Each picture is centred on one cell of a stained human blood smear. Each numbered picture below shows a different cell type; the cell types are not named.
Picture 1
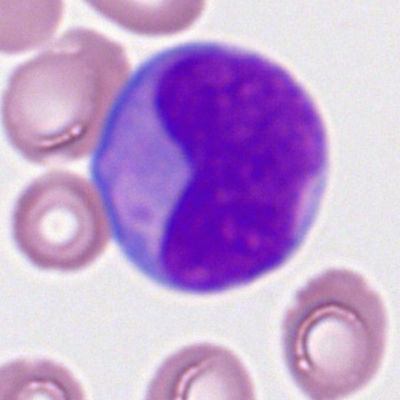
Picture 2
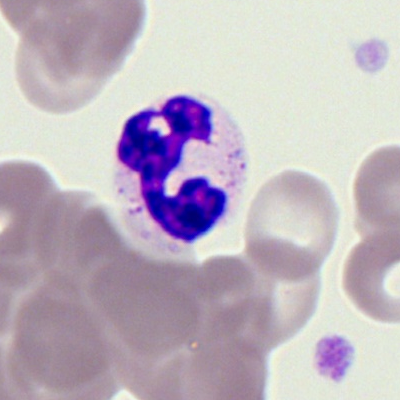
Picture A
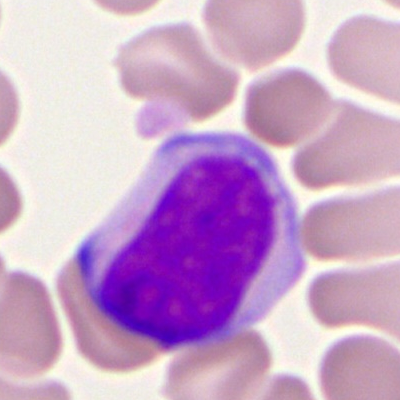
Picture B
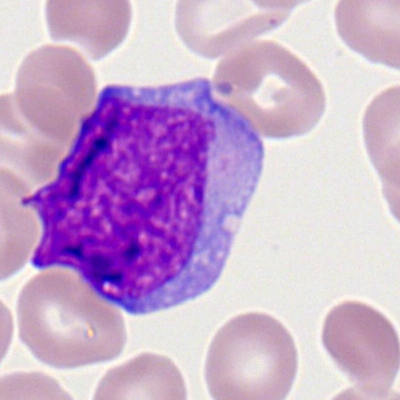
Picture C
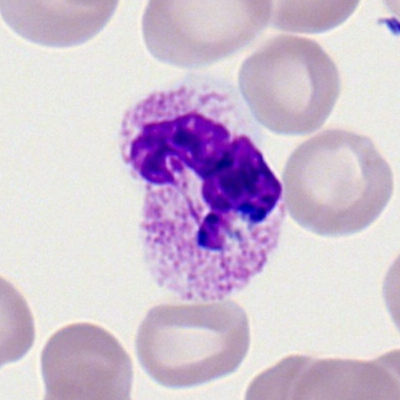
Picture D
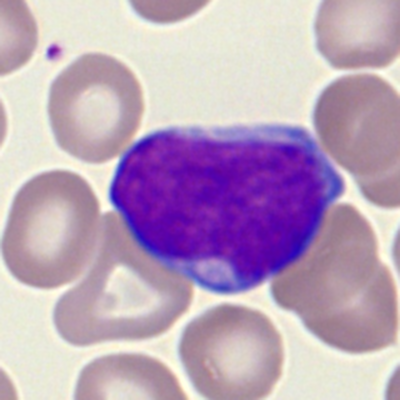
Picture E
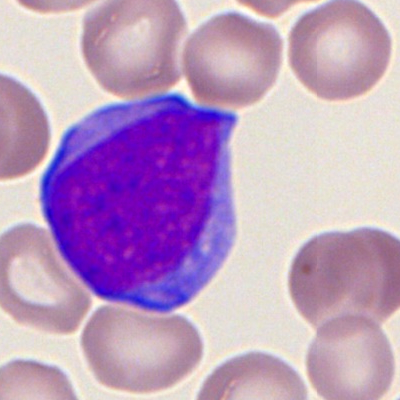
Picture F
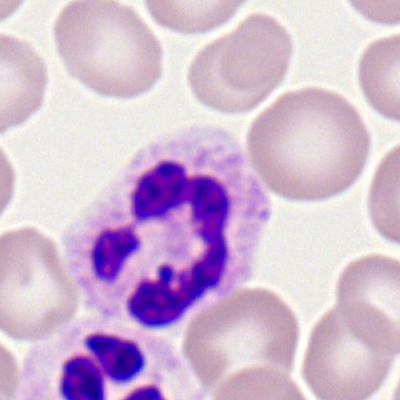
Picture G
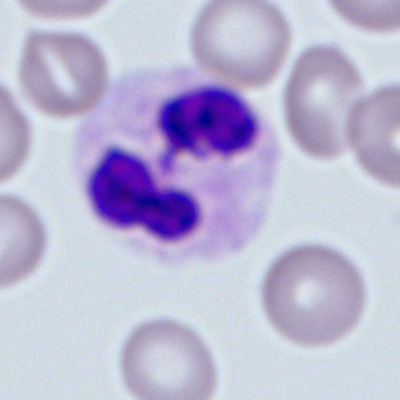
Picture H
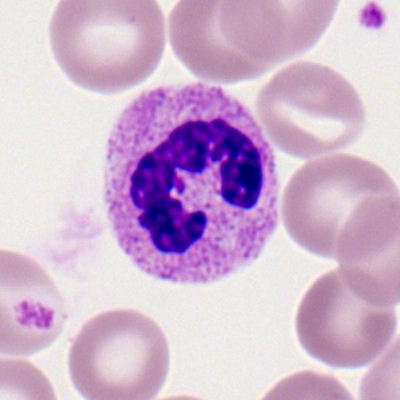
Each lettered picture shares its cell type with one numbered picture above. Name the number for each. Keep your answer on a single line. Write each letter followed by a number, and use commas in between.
A 1, B 1, C 2, D 1, E 1, F 2, G 2, H 2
